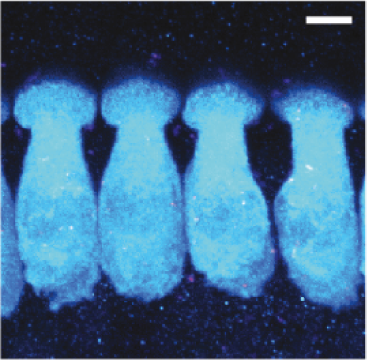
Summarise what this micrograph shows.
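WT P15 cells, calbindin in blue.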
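A single row of four inner hair cells is seen, each filled with blue. The cells are flask-shaped: a narrow neck at the top widens into a broad, rounded body below, and the bodies lie side by side, separated by thin dark gaps. The blue fill is fairly even through the cytoplasm, slightly paler in places, with no distinct nucleus outlined. Only a few scattered, small bright puncta appear within or around the cells; the background below the cells is dark with faint speckles.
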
